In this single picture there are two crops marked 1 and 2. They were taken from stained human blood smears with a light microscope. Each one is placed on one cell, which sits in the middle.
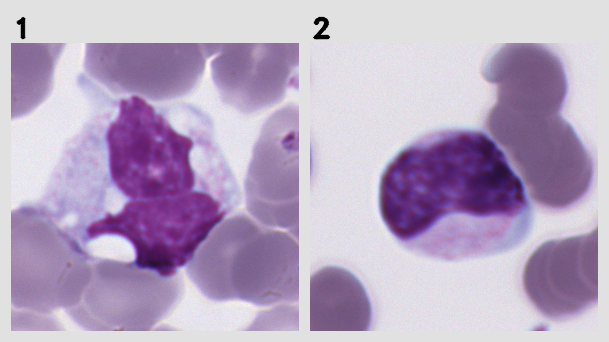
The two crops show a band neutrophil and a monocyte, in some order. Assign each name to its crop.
1: monocyte
2: band neutrophil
